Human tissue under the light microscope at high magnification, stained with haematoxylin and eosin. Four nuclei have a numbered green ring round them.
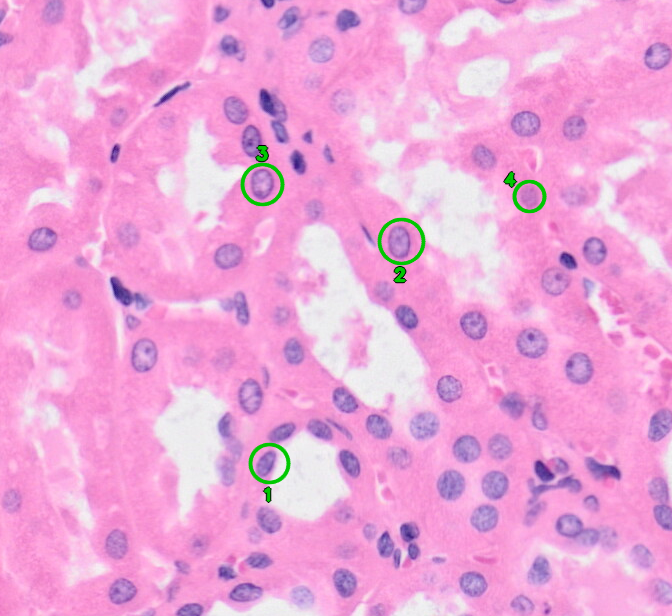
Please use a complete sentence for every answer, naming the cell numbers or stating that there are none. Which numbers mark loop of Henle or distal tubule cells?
Cell 1 is a loop of Henle or distal tubule cell, and it is the only numbered cell that is.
